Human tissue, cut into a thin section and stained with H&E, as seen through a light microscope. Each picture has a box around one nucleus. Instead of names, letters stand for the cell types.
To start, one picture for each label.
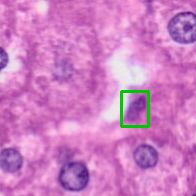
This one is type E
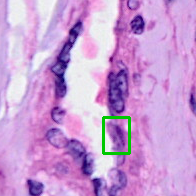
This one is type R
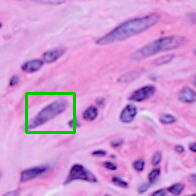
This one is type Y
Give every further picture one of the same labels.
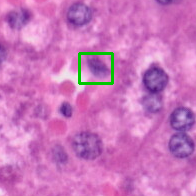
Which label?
type R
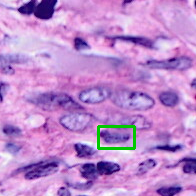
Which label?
type R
